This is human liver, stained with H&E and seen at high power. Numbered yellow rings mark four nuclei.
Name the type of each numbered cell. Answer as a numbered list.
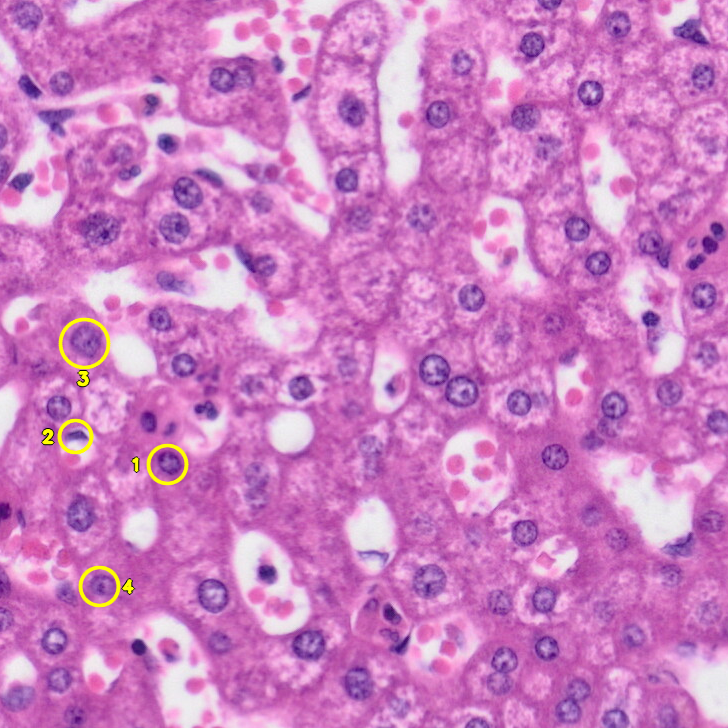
1. hepatocyte
2. endothelial cell
3. hepatocyte
4. hepatocyte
